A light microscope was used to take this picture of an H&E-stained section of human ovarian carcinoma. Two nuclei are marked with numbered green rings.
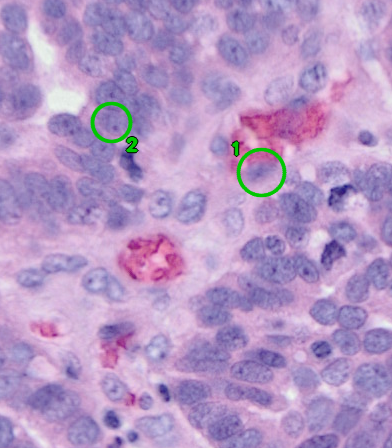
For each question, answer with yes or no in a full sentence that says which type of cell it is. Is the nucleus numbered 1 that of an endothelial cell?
Yes, the cell that has number 1 is an endothelial cell.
